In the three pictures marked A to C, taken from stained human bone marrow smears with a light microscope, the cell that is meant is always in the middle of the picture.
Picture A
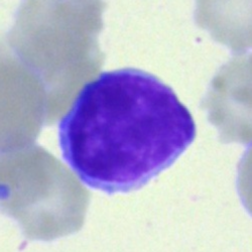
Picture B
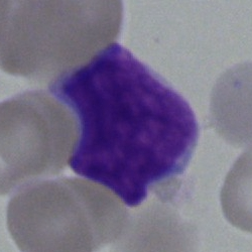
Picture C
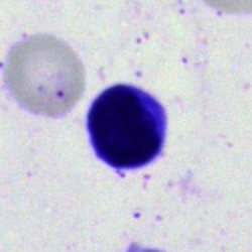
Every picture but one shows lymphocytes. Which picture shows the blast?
B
